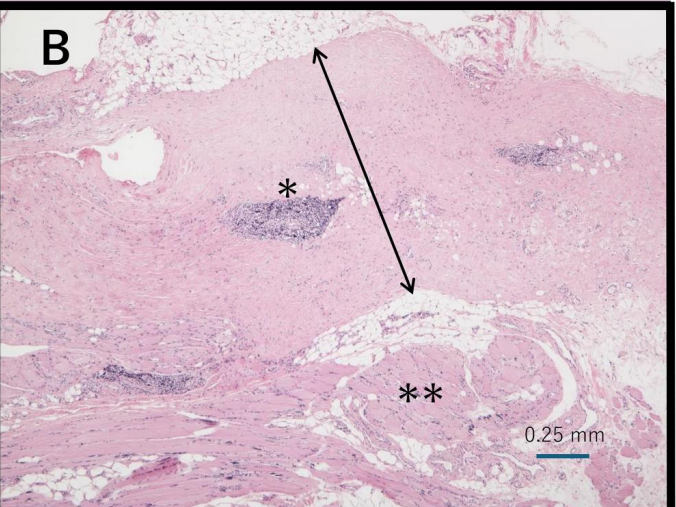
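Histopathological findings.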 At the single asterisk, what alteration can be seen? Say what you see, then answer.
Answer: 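Lymphocytic infiltration. The asterisk marks a compact cluster of small, dark purple, round nuclei. The cluster sits within the pink fibrous band.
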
